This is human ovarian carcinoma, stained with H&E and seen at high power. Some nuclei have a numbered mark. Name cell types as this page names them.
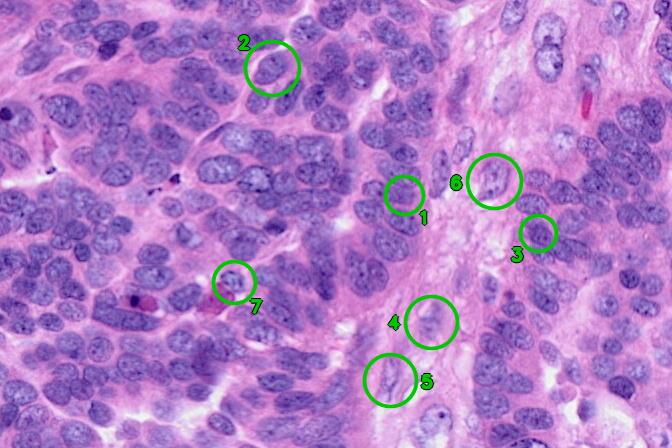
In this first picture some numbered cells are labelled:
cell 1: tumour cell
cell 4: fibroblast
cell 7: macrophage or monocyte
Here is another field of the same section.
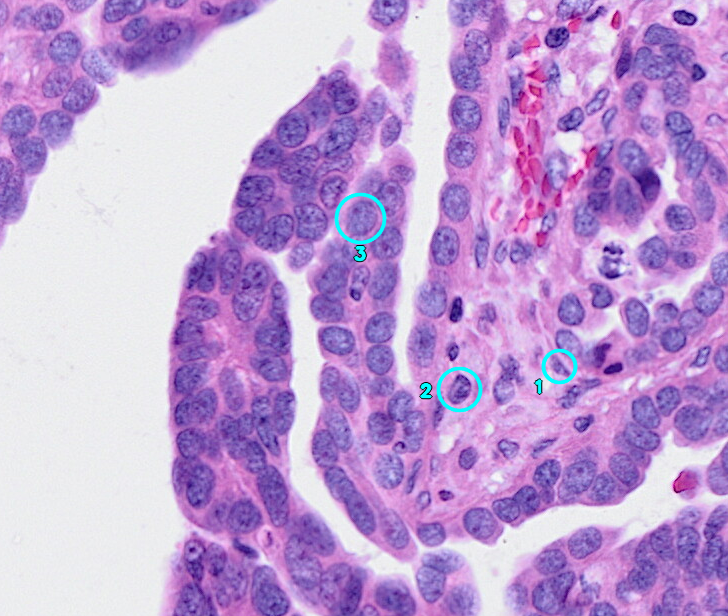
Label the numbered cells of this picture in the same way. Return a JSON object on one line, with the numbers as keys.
{"1": "fibroblast", "2": "macrophage or monocyte", "3": "tumour cell"}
